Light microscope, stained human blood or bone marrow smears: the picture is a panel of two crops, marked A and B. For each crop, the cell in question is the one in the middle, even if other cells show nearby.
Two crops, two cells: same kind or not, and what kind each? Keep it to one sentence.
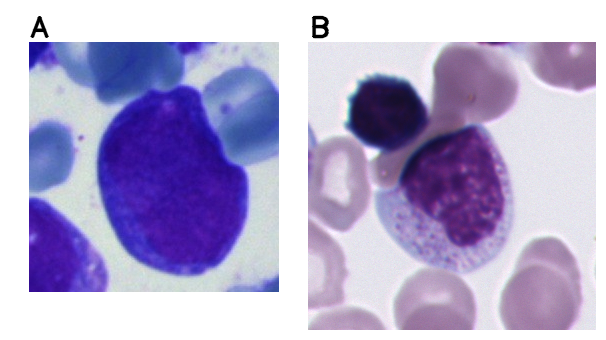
No, crop A is of a blast, and crop B is of a myelocyte.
